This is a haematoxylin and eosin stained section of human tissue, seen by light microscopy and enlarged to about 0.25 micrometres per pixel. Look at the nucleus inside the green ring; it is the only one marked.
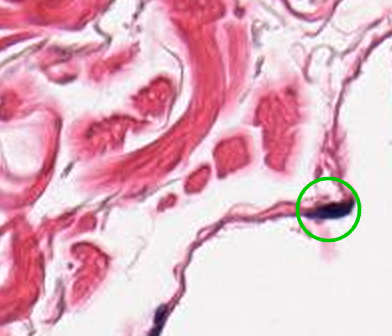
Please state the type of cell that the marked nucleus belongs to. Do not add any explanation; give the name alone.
endothelial cell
